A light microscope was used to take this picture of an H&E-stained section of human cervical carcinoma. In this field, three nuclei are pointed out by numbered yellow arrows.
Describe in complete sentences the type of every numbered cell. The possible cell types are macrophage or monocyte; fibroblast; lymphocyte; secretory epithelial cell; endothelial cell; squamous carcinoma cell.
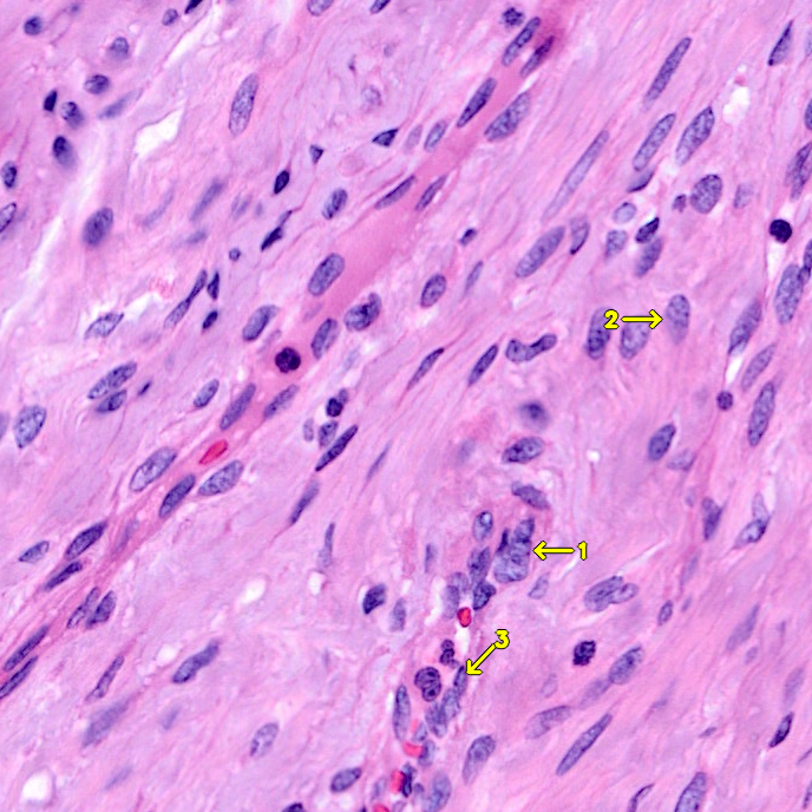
Cell 1 is an endothelial cell, cell 2 is a fibroblast and cell 3 is an endothelial cell.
